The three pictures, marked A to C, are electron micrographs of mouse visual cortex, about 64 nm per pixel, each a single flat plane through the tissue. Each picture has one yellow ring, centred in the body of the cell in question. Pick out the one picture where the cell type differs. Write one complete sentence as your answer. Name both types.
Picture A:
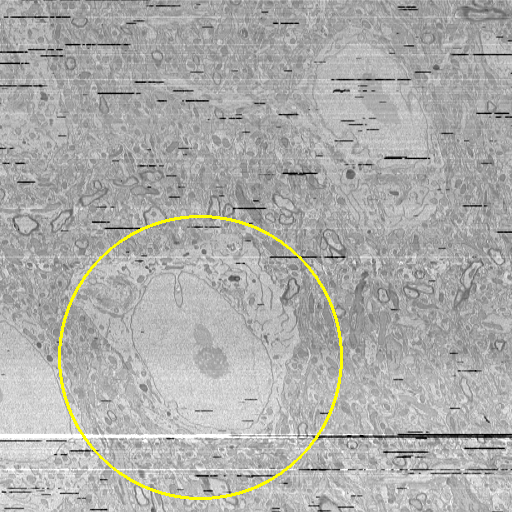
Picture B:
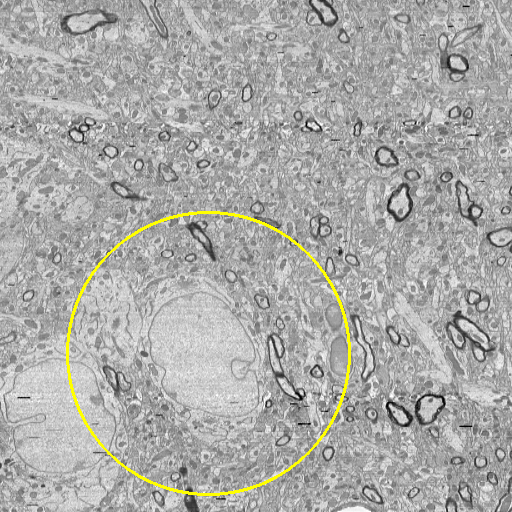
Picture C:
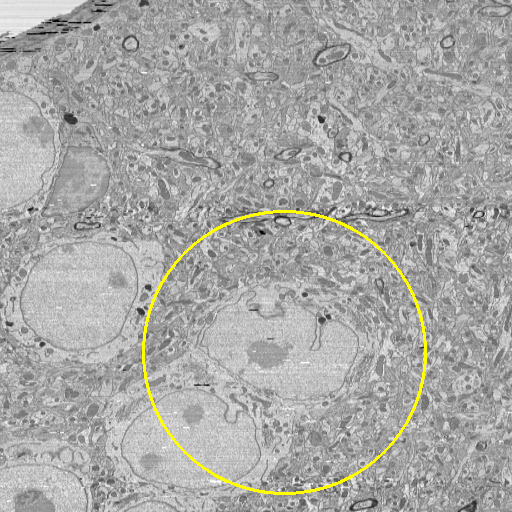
The others show excitatory neurons, but picture C shows an inhibitory neuron.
